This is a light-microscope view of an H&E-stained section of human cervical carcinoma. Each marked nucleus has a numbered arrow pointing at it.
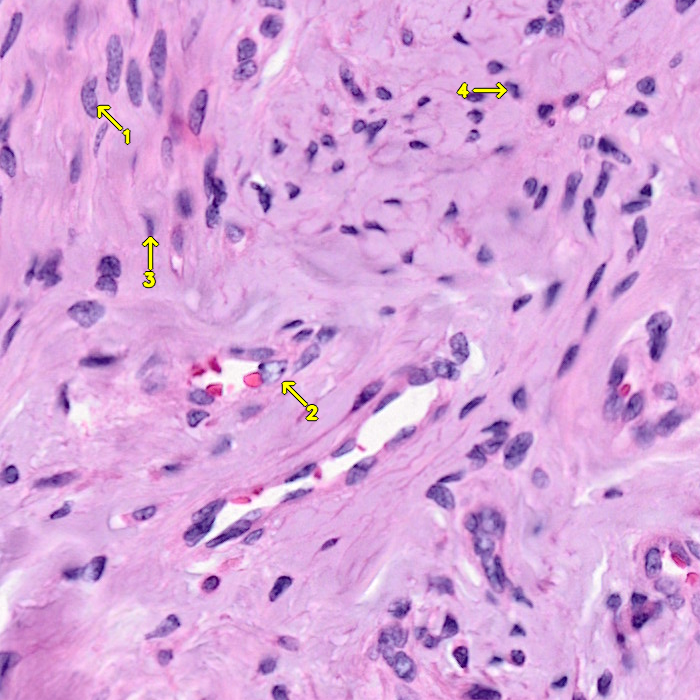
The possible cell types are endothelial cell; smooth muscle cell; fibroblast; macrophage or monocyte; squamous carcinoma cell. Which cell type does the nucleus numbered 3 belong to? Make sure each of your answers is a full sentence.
The marked cell with the number 3 is recognised as a fibroblast.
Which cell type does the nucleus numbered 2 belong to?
Denoted by the label 2 in the section is an endothelial cell.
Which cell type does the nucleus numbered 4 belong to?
The nucleus labeled 4 belongs to a fibroblast.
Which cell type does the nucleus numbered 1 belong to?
Identified as a fibroblast is the cell bearing the number 1.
